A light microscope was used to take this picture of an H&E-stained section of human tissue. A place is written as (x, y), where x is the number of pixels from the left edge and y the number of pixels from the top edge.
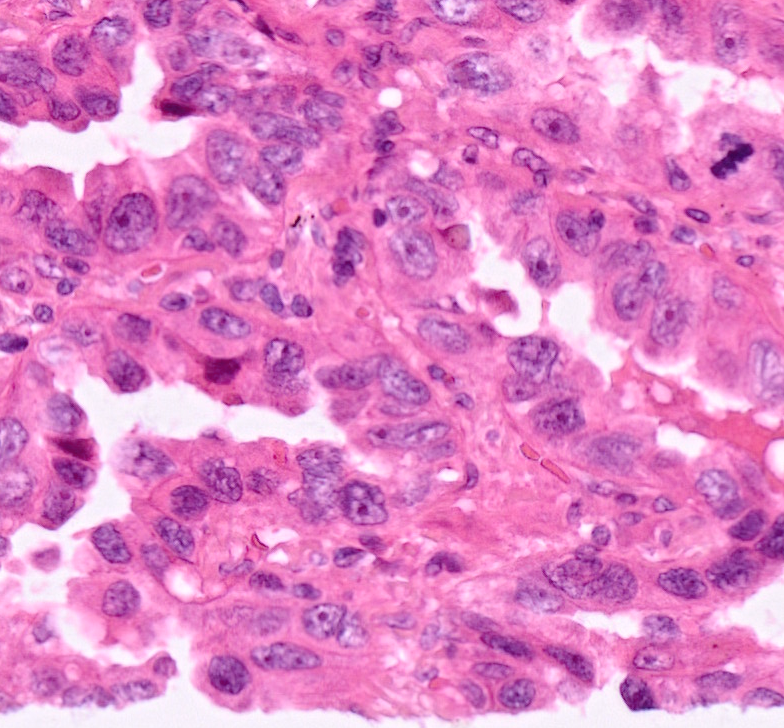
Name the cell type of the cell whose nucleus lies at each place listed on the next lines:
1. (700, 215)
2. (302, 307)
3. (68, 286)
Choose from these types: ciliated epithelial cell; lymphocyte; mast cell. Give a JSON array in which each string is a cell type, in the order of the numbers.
["mast cell", "lymphocyte", "lymphocyte"]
